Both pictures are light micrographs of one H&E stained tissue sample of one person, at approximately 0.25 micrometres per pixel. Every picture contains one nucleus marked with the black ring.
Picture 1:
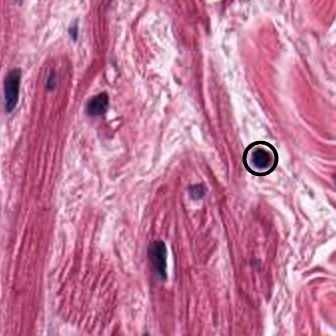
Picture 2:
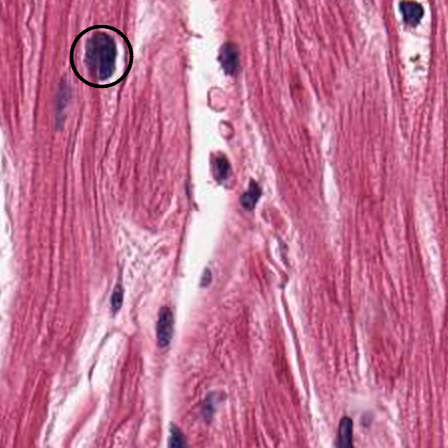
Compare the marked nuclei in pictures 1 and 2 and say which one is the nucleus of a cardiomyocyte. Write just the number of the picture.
2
